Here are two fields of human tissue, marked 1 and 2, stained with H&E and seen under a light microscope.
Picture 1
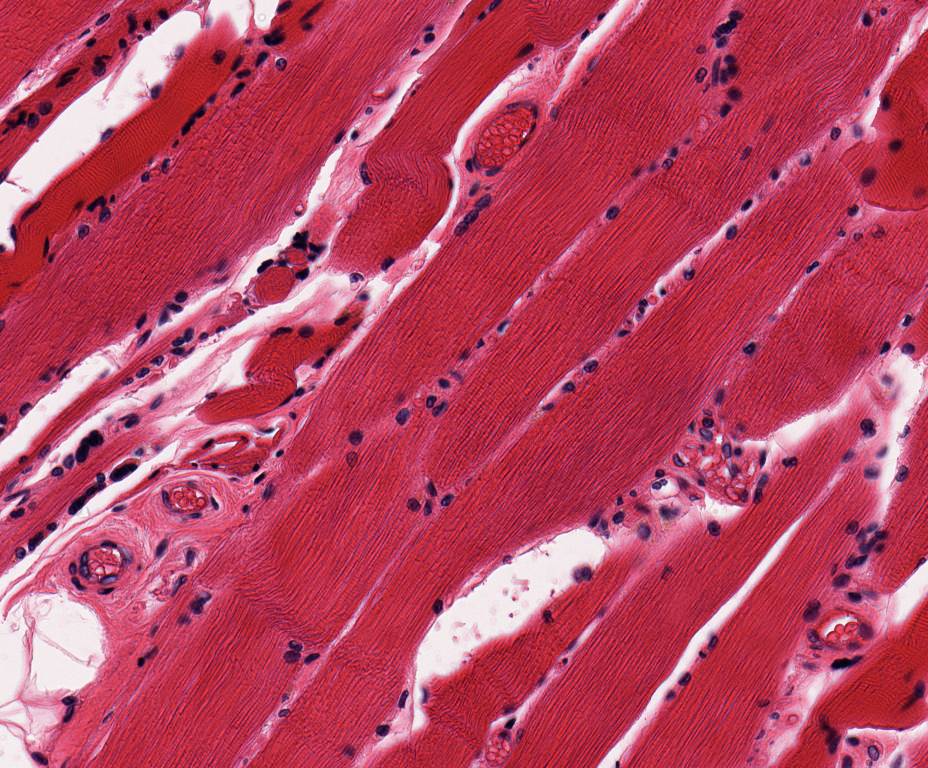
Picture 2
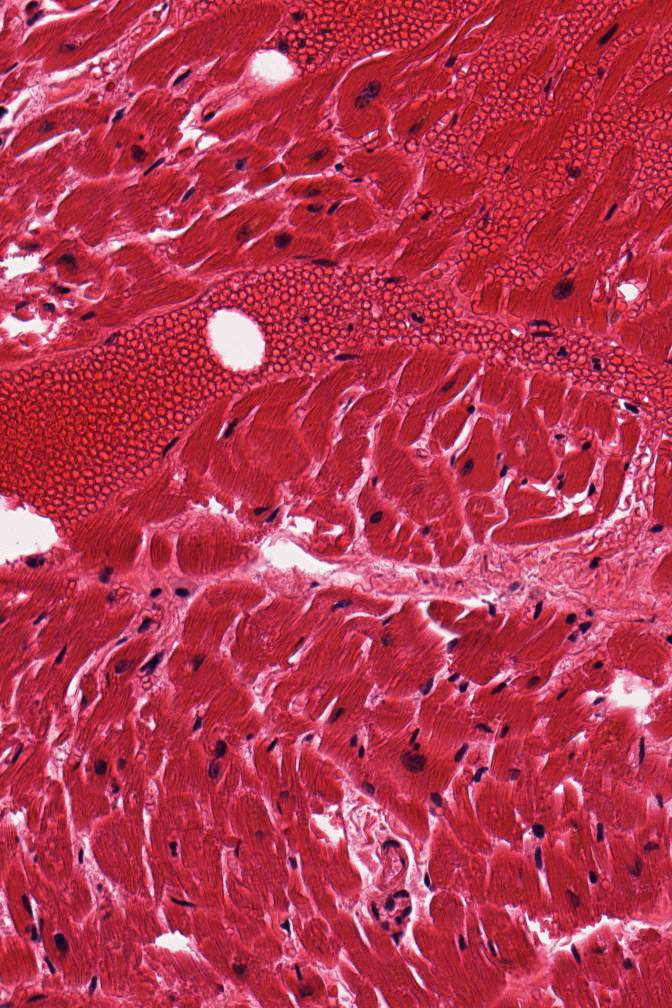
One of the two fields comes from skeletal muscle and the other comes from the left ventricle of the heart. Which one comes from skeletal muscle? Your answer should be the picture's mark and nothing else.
1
